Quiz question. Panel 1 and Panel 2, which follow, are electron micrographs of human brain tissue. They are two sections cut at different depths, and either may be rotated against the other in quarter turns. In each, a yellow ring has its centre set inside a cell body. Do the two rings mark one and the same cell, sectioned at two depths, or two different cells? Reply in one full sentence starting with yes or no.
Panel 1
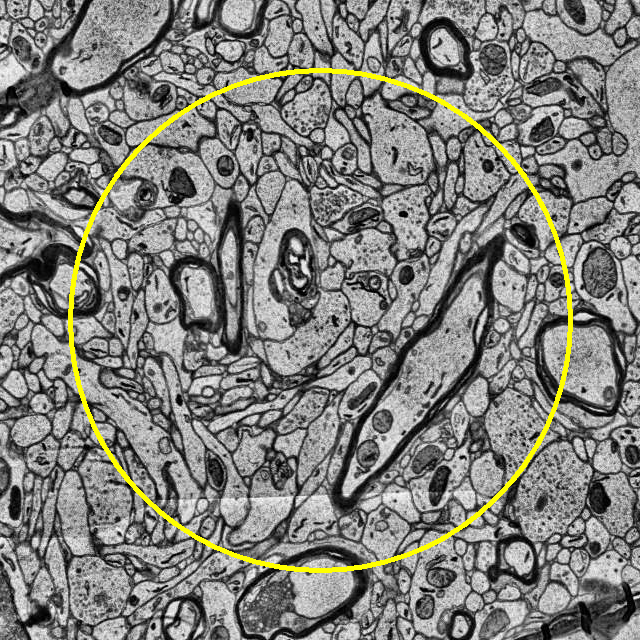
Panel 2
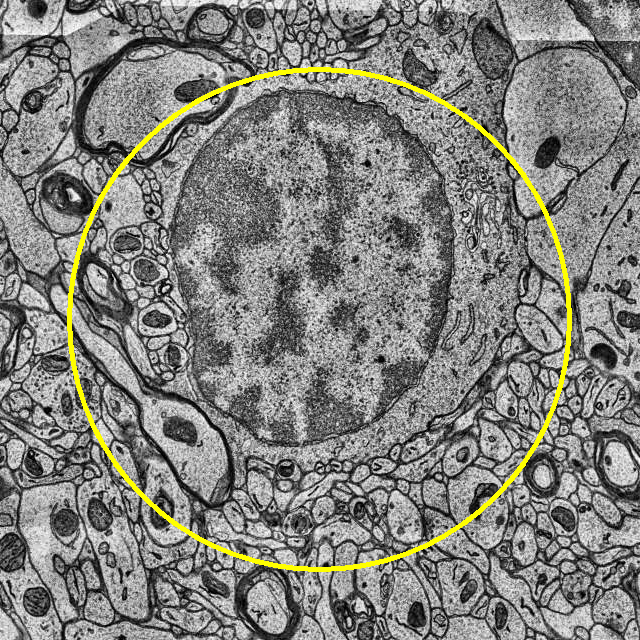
Yes, a single cell is marked twice, once by each yellow ring.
